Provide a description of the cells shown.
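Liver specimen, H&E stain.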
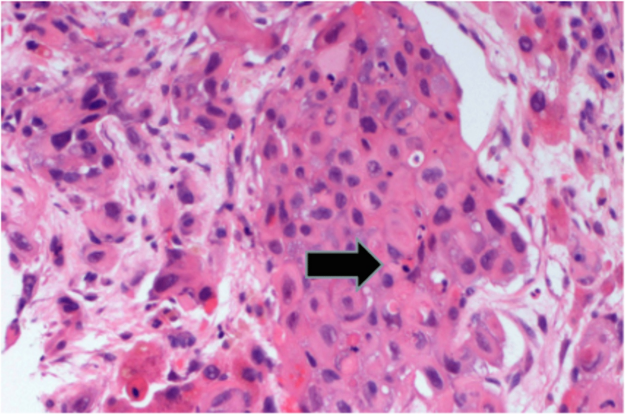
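Loose groups of large cells with pink cytoplasm and enlarged, dark, irregular nuclei lie in pale loose stroma. Some of these cells hold small round clear vacuoles in their cytoplasm. These are carcinoma cells, among them signet ring cells.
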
